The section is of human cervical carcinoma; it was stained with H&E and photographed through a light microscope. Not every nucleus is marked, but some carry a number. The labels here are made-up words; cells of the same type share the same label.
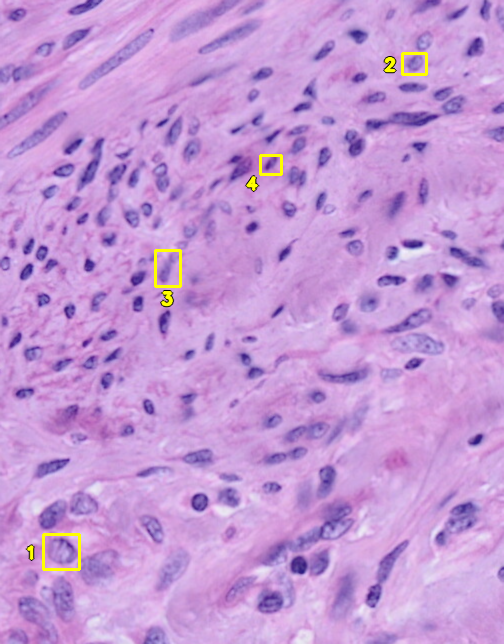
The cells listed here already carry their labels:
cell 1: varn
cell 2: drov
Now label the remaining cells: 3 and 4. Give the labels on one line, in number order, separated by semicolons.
drov; drov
